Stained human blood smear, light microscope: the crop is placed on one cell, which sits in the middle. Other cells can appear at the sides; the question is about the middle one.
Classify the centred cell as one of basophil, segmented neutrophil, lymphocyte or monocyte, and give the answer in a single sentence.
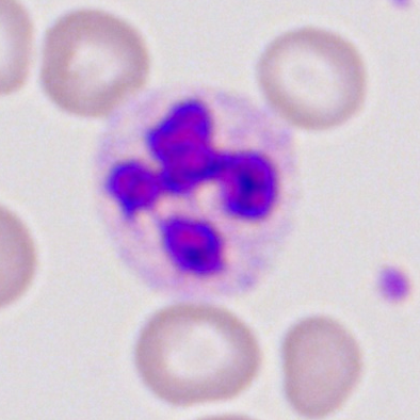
The centrally located cell in the crop is a segmented neutrophil.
